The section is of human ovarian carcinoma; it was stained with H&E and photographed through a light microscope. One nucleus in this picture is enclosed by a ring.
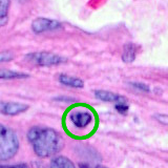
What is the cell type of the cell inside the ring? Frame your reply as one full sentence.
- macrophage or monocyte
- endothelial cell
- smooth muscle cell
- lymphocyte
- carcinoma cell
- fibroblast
As far as its identity is concerned, the cell inside the ring is a lymphocyte.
